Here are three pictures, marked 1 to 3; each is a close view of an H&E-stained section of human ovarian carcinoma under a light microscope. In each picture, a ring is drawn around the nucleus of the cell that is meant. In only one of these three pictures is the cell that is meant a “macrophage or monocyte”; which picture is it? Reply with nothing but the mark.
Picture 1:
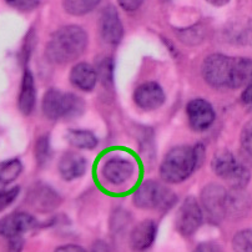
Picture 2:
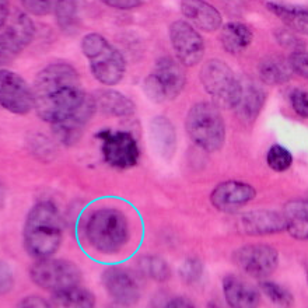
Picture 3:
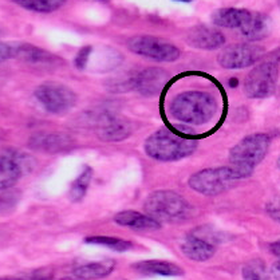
1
